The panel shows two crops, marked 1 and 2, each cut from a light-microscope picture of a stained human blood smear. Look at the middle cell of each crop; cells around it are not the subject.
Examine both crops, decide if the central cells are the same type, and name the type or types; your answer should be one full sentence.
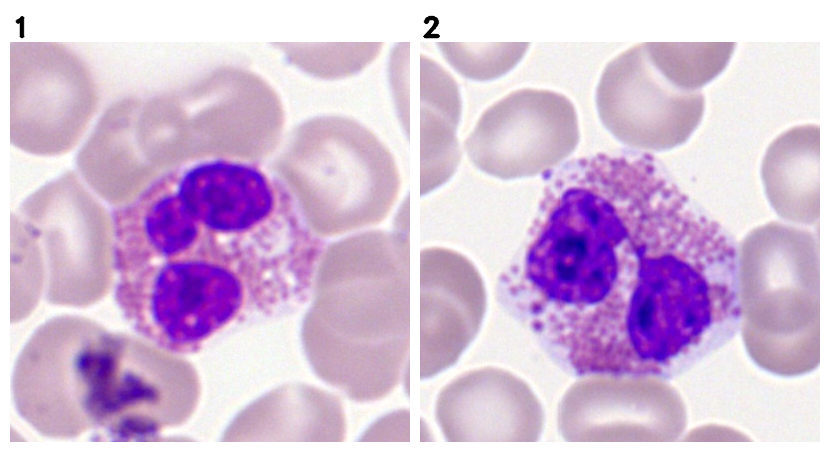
Yes, the centred cells are eosinophils in both crops.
